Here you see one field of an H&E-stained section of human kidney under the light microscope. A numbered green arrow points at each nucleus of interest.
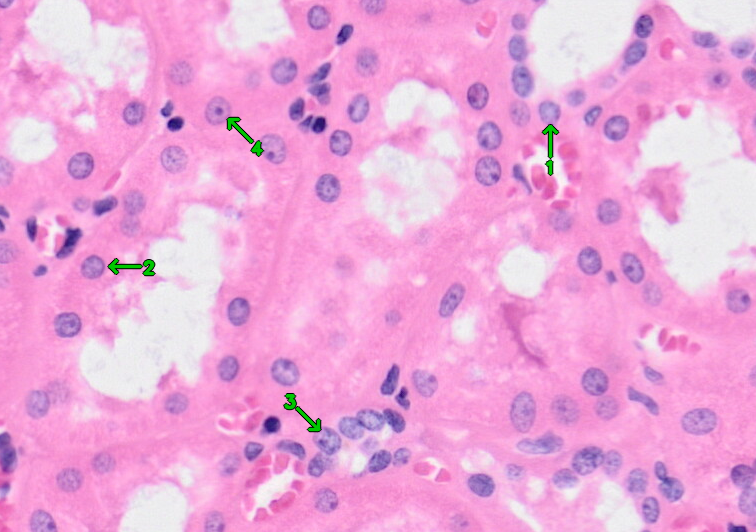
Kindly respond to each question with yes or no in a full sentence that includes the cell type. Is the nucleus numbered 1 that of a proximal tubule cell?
No, with respect, cell 1 is a collecting duct cell rather than a proximal tubule cell.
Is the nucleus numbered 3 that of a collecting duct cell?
Yes, number 3 in this section denotes a collecting duct cell.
